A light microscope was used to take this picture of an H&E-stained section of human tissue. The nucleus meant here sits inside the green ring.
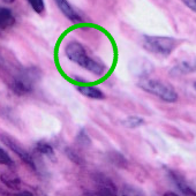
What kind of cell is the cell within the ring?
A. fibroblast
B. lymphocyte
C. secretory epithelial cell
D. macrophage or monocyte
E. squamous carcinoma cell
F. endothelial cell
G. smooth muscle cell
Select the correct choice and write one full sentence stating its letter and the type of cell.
The statement that the cell within the ring is a macrophage or monocyte corresponds to option D, the correct one.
